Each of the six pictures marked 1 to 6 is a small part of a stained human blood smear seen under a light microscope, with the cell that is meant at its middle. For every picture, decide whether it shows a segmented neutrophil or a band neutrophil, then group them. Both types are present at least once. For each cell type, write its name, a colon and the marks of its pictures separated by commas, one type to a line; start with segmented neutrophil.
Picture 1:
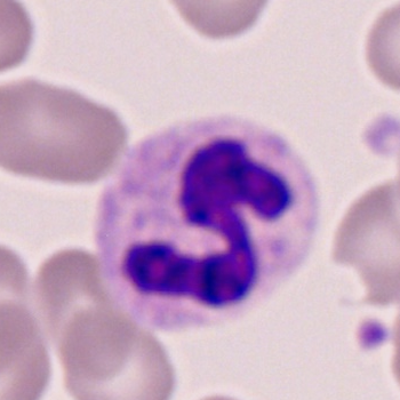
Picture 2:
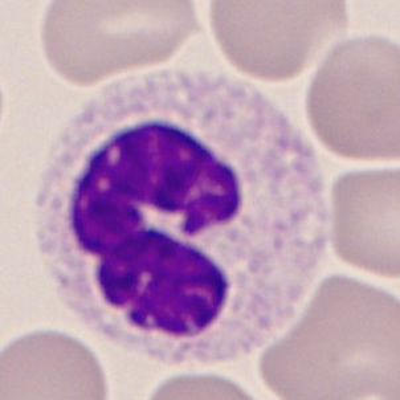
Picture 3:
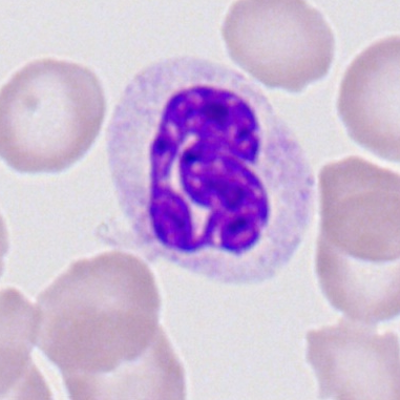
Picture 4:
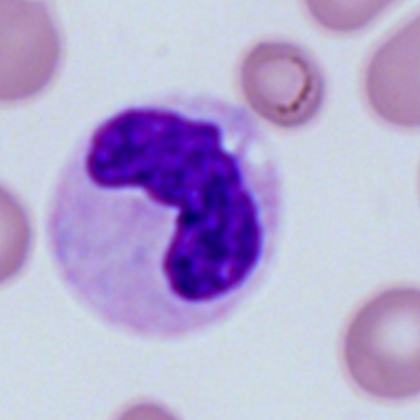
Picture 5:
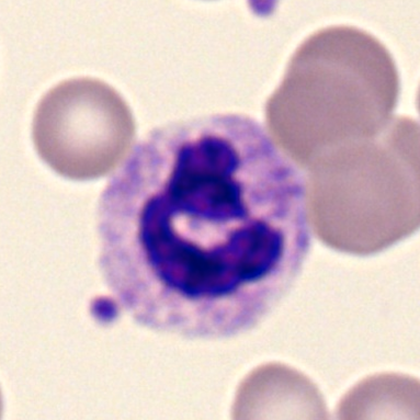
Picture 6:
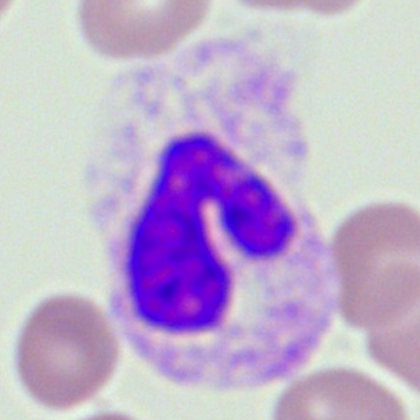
segmented neutrophil: 1, 3, 5
band neutrophil: 2, 4, 6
